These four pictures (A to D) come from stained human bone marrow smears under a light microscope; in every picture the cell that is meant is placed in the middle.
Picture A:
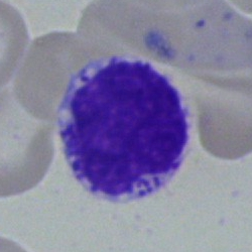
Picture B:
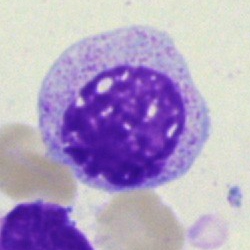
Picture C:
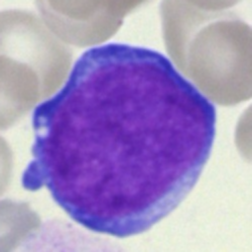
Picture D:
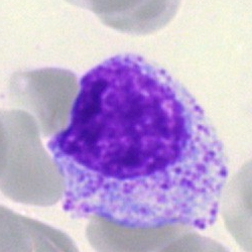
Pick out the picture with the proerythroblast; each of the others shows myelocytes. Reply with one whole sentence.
The proerythroblast is the one in picture C.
